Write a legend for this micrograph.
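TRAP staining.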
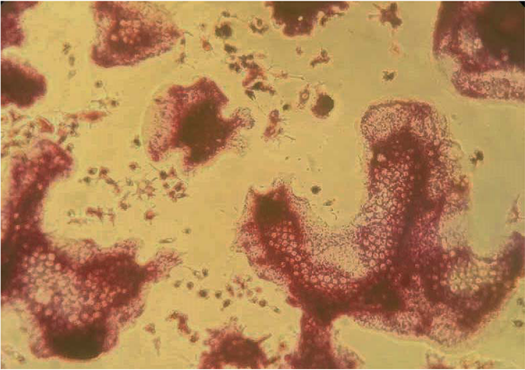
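Many pale round nuclei are packed within the stained cytoplasm of each large cell. Small stained cells lie scattered in the pale background between the giant cells.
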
